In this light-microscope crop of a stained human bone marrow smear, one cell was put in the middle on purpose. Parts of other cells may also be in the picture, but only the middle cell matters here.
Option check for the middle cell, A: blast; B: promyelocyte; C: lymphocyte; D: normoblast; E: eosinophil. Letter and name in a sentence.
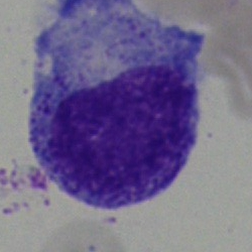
The correct response is option B, naming the cell in the middle as a promyelocyte.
